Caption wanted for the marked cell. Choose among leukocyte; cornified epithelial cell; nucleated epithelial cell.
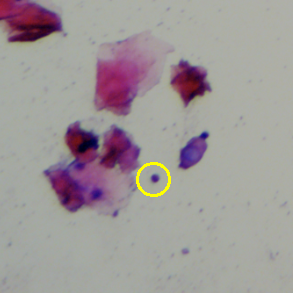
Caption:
Ringed in yellow is a leukocyte.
